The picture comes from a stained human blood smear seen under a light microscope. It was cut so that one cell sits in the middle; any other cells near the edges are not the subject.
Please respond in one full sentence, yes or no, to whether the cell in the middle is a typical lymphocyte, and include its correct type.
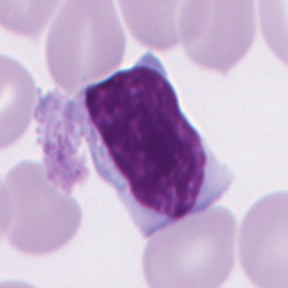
No, the central cell qualifies as a large granular lymphocyte rather than as a typical lymphocyte.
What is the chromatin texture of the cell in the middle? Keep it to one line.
Its nuclear chromatin is gathered into coarse clumps.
